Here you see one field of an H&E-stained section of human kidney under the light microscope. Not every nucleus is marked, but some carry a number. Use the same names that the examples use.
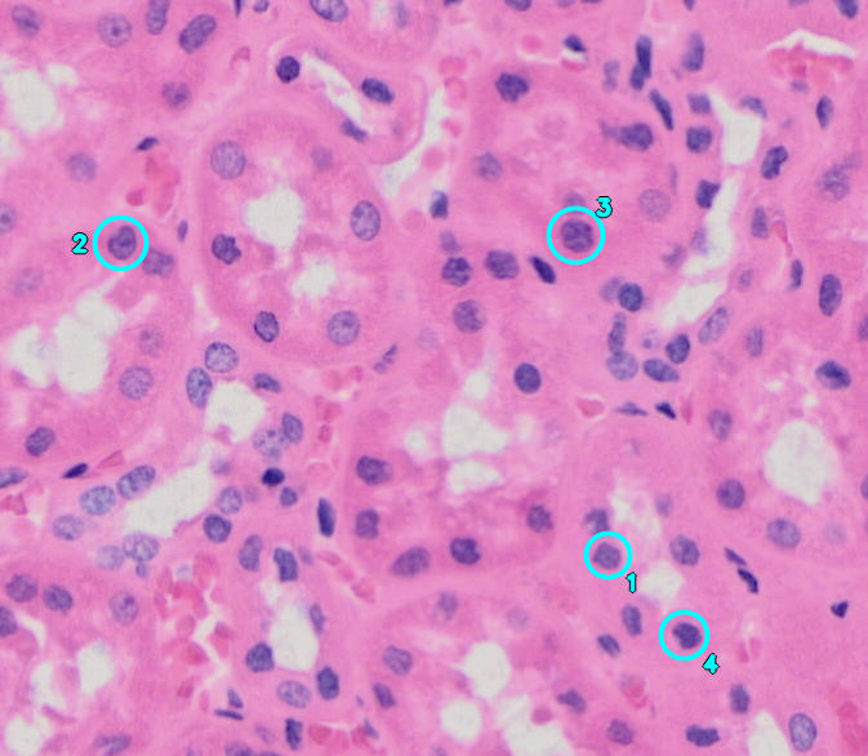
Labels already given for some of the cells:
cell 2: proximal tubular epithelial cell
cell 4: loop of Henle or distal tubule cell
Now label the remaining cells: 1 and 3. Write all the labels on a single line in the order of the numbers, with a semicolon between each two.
loop of Henle or distal tubule cell; proximal tubular epithelial cell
